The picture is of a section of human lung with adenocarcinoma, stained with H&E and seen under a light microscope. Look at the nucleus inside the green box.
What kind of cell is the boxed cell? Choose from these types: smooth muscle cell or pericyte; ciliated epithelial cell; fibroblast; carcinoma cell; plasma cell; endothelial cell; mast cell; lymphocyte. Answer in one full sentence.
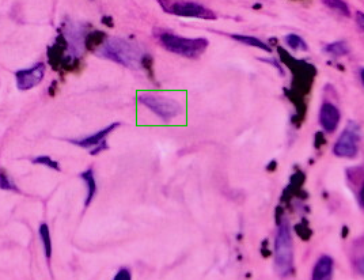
In this section, the boxed cell is a fibroblast.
